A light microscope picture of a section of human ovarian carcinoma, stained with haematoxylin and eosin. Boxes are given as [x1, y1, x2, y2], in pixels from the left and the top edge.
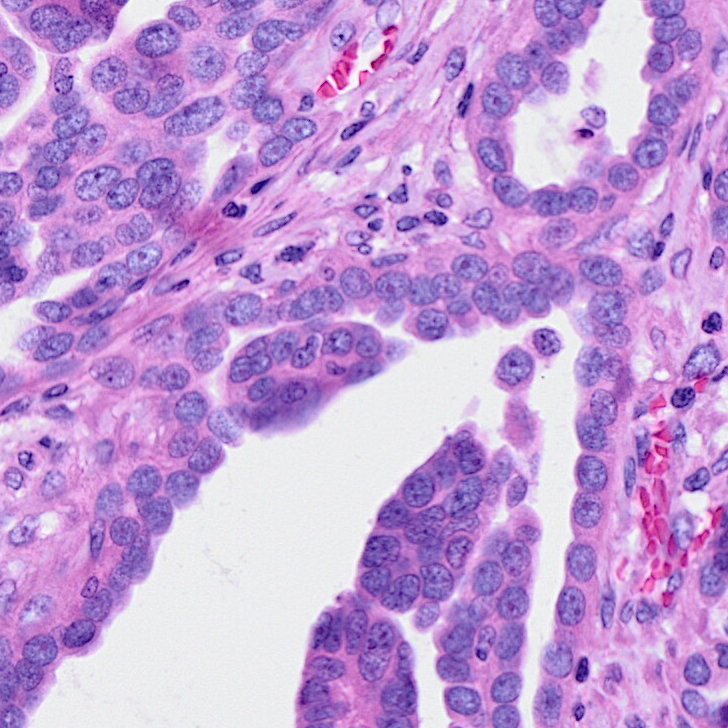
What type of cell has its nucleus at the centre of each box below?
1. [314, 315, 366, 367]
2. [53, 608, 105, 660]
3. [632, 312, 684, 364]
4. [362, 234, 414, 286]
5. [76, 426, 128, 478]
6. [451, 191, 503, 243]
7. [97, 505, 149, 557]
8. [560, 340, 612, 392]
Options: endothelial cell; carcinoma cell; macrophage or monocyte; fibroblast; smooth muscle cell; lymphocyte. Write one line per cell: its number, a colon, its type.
1: carcinoma cell
2: carcinoma cell
3: fibroblast
4: fibroblast
5: fibroblast
6: fibroblast
7: carcinoma cell
8: carcinoma cell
